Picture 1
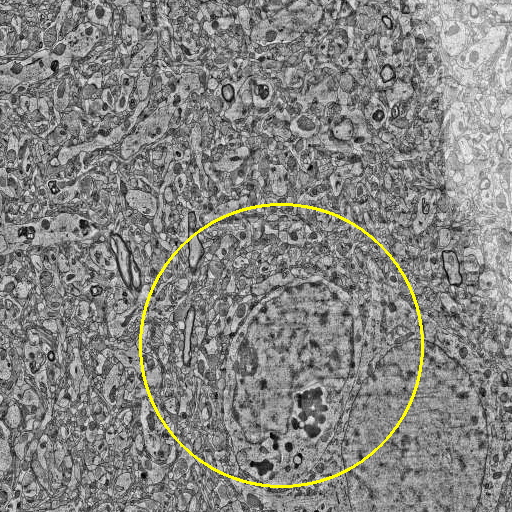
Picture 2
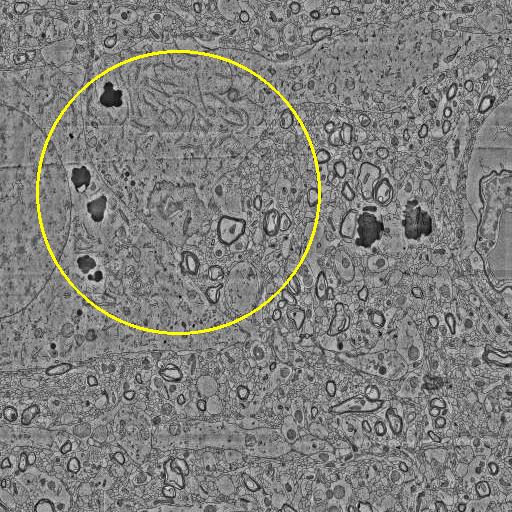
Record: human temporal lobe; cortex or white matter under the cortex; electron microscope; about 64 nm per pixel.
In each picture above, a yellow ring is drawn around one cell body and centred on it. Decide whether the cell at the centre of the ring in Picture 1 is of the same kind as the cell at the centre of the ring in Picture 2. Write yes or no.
no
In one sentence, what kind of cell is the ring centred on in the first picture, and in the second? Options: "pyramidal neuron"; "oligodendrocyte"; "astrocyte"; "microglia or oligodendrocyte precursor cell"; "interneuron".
The cell at the centre of the second ring is an oligodendrocyte; the first ring's cell is an interneuron.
